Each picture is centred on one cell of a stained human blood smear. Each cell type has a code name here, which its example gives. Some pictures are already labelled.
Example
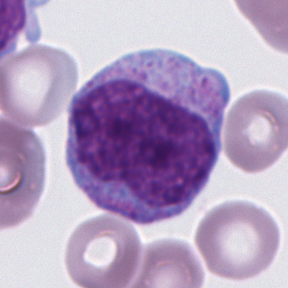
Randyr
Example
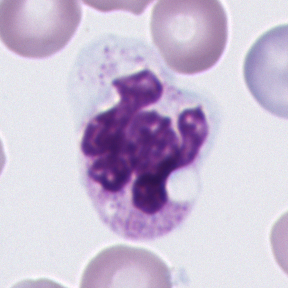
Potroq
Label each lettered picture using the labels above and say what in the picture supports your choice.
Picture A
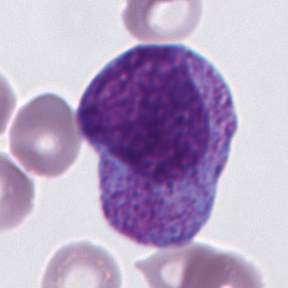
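Randyr: The nucleus is a single large unlobed mass.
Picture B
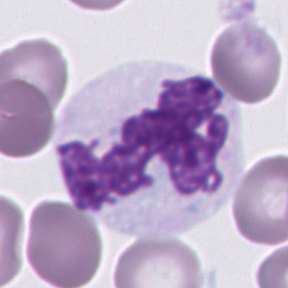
Potroq: The cytoplasm is abundant and pale greyish-lavender.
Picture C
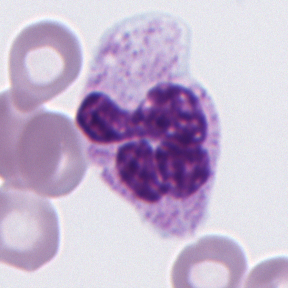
Potroq: The cytoplasm is plentiful and pale lilac-grey.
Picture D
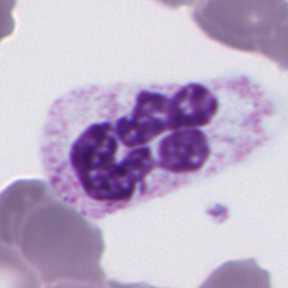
Potroq: The cytoplasm is pale, almost colourless, with a wider margin on the right of the nucleus than on the left.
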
